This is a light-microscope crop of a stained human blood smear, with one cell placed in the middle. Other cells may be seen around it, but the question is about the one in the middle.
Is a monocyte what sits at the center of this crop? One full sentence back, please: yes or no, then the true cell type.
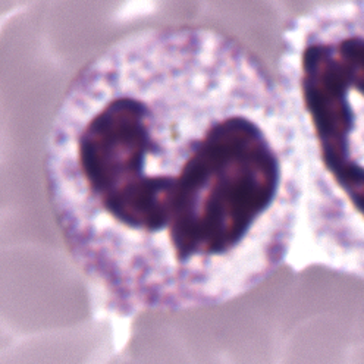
No, the central cell is a segmented neutrophil; it should not be labelled a monocyte.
